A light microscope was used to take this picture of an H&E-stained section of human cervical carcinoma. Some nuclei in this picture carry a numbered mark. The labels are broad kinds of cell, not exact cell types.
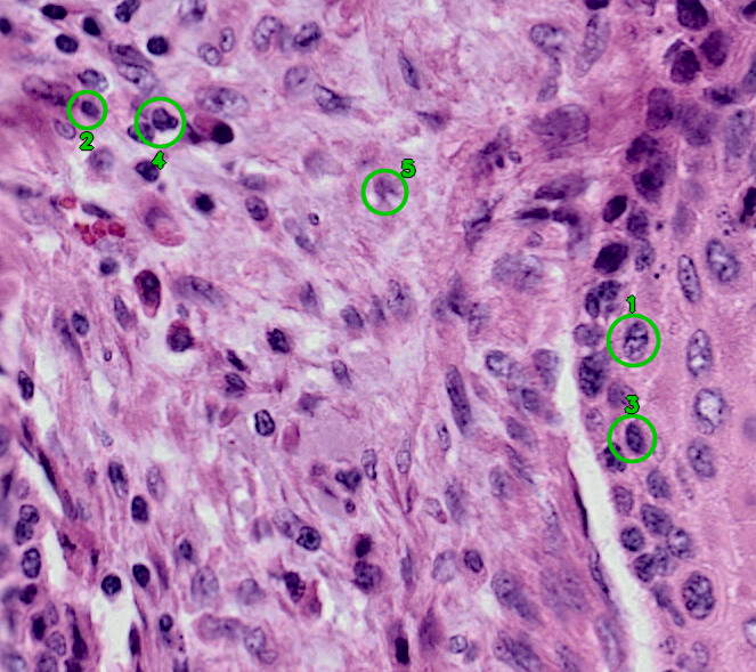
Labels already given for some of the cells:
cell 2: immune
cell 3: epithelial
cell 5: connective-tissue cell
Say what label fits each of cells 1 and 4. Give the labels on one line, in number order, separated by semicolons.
epithelial; immune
